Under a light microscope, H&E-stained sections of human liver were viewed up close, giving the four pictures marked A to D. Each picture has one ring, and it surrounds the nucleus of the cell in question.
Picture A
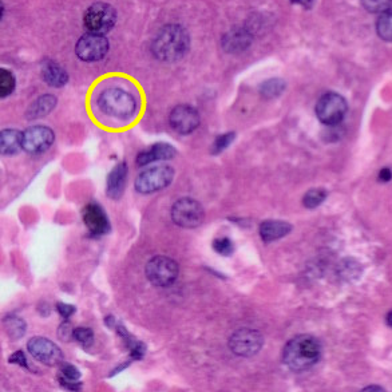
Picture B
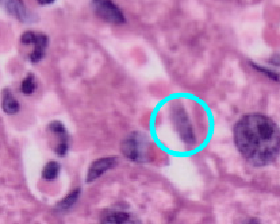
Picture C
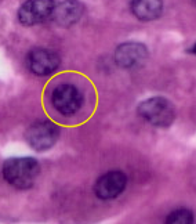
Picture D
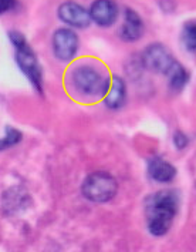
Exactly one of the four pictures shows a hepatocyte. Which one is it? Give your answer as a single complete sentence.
Picture C is the one that shows the hepatocyte.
